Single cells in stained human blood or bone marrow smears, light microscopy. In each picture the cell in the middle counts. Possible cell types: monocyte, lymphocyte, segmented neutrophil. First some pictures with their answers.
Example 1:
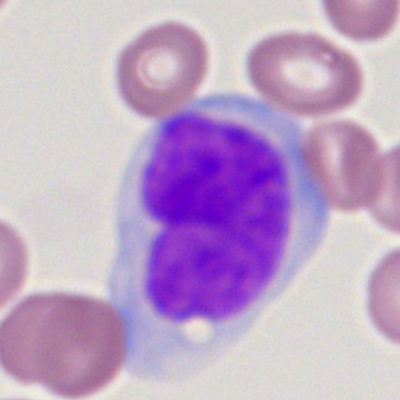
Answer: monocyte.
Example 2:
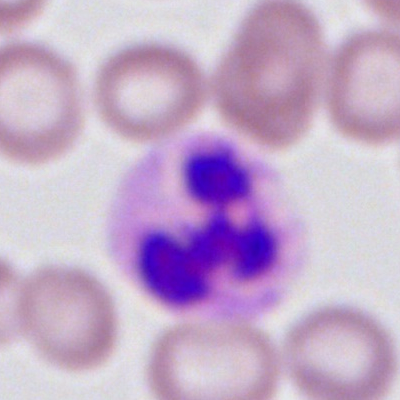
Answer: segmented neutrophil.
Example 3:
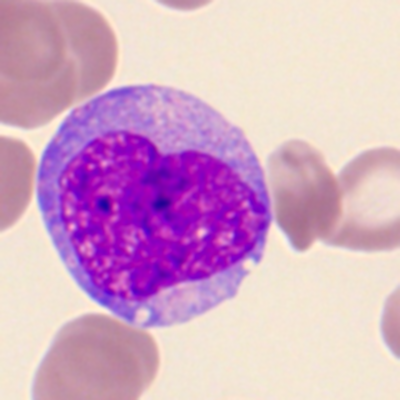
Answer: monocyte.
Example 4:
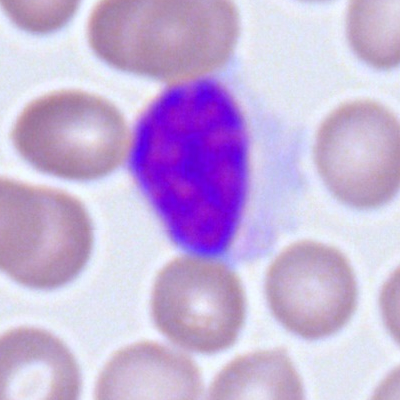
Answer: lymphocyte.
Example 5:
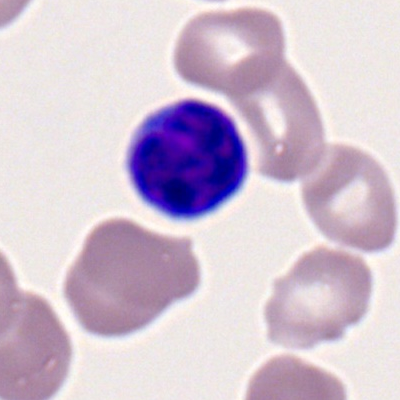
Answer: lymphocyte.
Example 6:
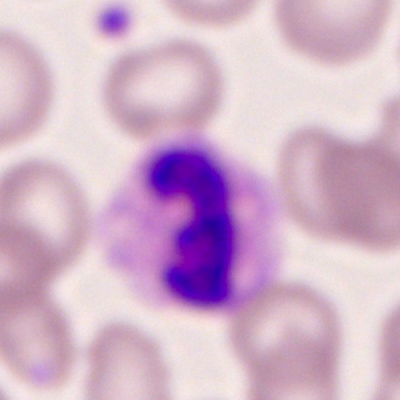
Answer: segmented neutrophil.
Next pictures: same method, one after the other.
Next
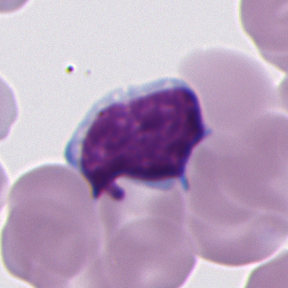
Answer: lymphocyte.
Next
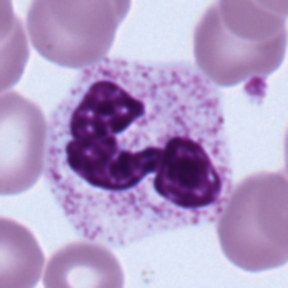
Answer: segmented neutrophil.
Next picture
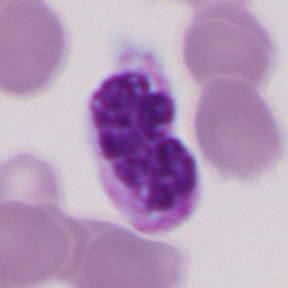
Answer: segmented neutrophil.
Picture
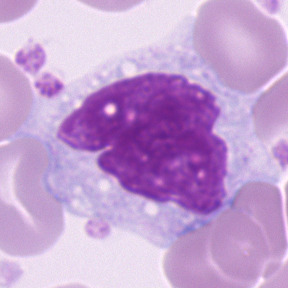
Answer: monocyte.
